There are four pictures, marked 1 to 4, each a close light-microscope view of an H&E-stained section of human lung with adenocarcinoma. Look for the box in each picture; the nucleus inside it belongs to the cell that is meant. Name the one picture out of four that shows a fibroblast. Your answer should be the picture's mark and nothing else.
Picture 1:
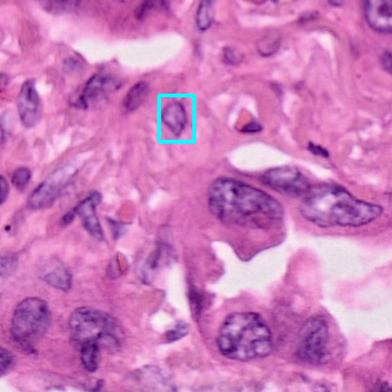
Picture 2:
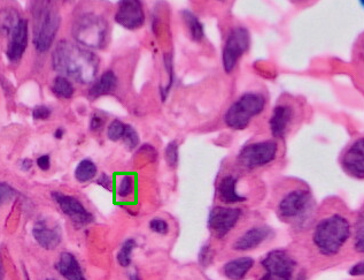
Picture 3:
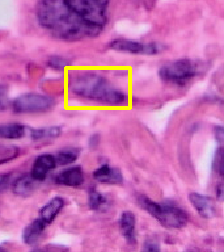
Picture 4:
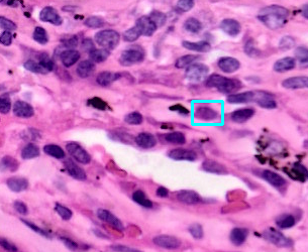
1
